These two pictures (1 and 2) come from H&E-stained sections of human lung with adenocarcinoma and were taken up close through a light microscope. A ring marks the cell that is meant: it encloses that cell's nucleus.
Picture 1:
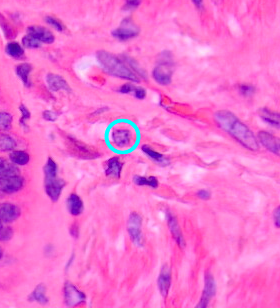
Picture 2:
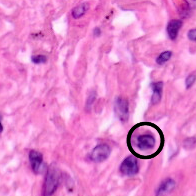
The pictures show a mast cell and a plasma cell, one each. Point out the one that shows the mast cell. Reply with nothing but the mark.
1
